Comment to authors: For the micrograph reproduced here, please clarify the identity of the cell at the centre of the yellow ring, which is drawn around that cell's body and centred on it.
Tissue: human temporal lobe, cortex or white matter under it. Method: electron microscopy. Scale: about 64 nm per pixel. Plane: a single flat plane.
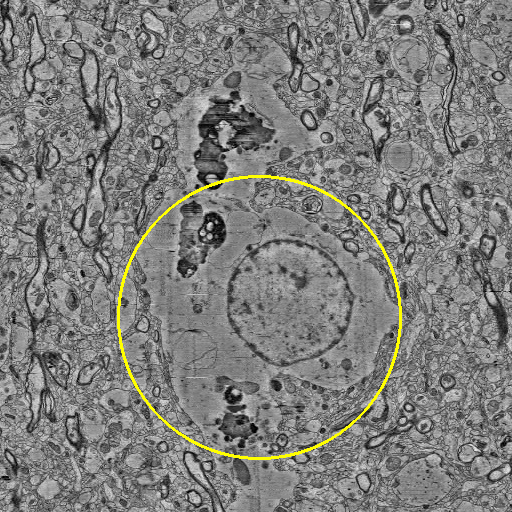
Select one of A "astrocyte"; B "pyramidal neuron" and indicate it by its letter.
A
